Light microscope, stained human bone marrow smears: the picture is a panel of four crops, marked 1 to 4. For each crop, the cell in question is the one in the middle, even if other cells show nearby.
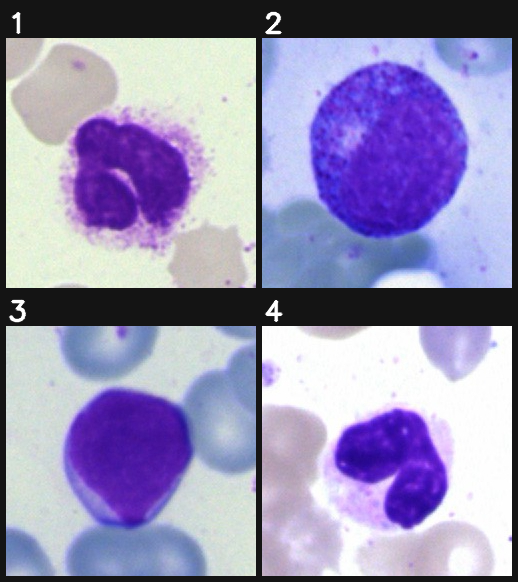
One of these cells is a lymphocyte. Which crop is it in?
3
